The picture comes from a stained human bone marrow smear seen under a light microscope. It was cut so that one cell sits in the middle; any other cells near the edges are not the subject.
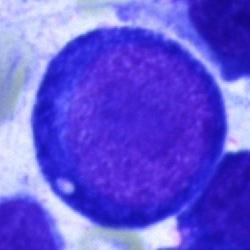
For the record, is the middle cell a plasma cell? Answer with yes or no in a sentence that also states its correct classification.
No, this one is a proerythroblast; it is not a plasma cell.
